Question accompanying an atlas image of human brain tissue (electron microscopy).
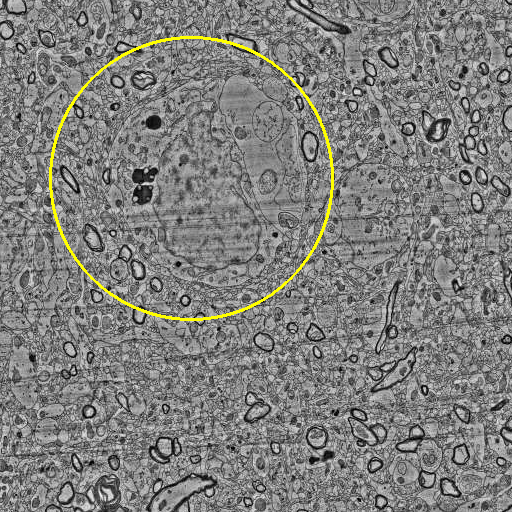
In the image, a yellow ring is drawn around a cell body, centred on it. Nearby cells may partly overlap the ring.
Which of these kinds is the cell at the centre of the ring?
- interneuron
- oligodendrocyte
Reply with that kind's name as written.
interneuron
